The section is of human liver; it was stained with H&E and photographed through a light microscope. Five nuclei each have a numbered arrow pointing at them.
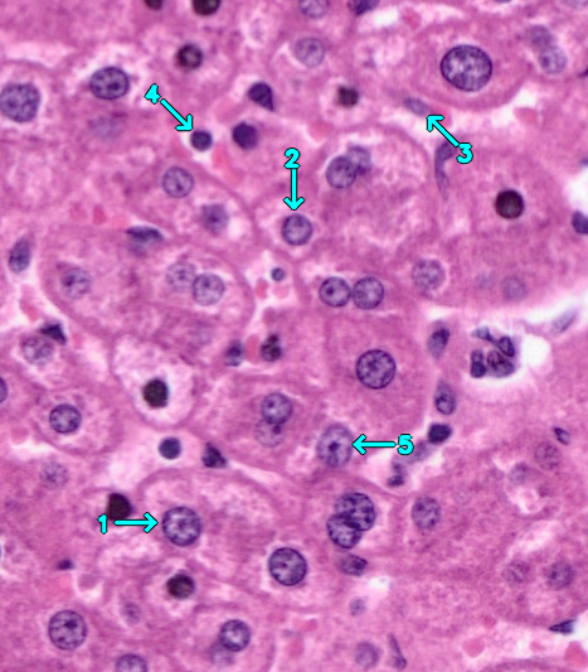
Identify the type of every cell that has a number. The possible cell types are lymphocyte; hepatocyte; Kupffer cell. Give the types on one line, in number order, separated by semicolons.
hepatocyte; hepatocyte; Kupffer cell; lymphocyte; hepatocyte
